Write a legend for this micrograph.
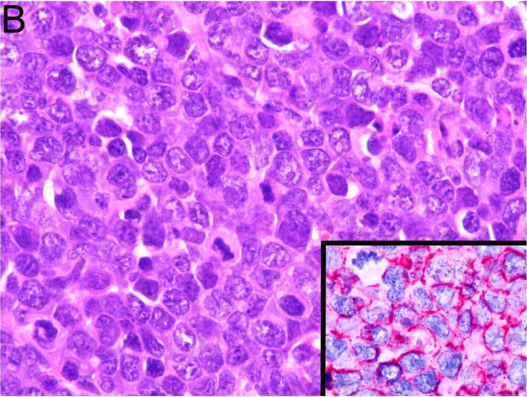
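This is a tumor made of sheets of large lymphoid cells packed tightly together with scant cytoplasm. Their nuclei are large, round to irregular, with vesicular chromatin and distinct nucleoli, and several cells are in mitosis. In the inset the cell membranes are outlined by a red stain around blue nuclei.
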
